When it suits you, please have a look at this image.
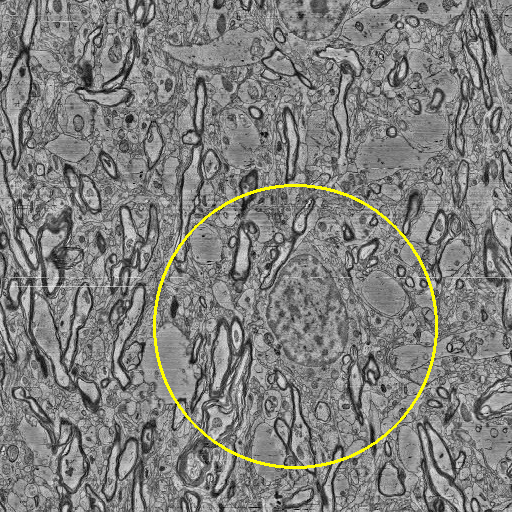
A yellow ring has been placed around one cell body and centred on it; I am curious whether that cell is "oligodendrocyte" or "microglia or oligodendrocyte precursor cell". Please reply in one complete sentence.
The ringed cell, an oligodendrocyte, has its body at the centre of the yellow ring.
